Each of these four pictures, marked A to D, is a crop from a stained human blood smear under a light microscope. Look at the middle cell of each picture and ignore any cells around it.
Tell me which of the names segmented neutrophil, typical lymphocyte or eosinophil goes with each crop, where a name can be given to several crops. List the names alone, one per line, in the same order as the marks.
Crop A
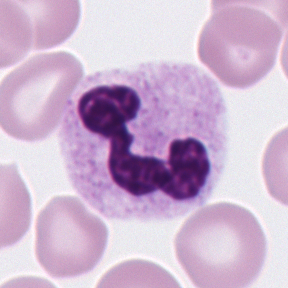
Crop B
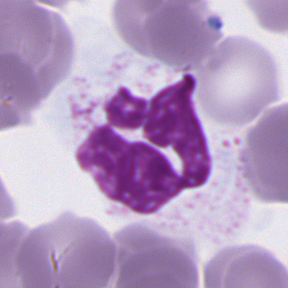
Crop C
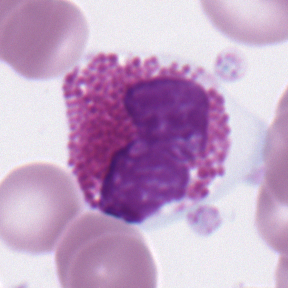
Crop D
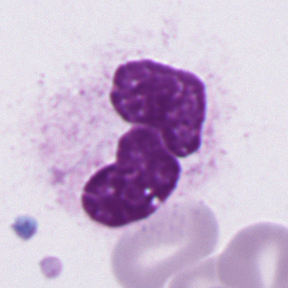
segmented neutrophil
segmented neutrophil
eosinophil
segmented neutrophil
